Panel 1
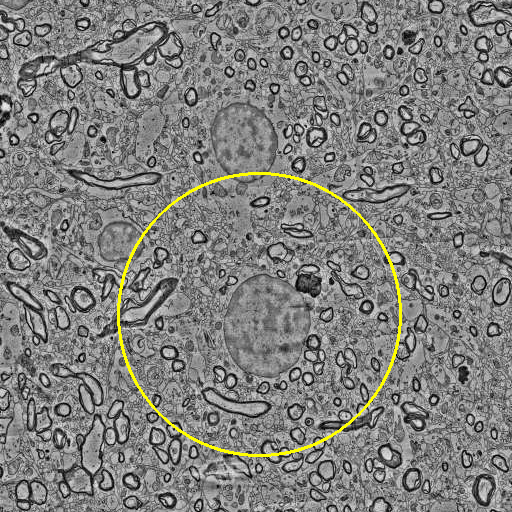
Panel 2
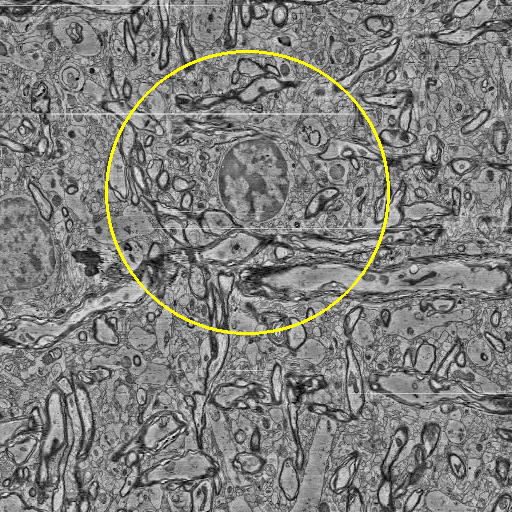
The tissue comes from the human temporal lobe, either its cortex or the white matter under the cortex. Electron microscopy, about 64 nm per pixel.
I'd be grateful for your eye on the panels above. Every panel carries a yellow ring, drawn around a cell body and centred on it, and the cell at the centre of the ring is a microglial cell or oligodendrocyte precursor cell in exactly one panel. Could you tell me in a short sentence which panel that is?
Panel 2 is the one with it at the centre of the ring.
